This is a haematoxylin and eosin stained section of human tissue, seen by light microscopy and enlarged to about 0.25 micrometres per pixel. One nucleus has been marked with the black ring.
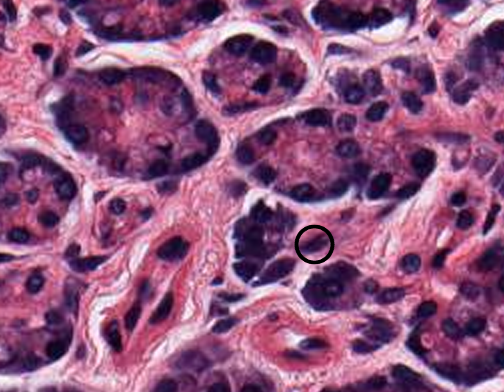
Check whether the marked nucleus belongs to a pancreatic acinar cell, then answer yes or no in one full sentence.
No, the owner of the marked nucleus is a supporting cell, not a pancreatic acinar cell.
